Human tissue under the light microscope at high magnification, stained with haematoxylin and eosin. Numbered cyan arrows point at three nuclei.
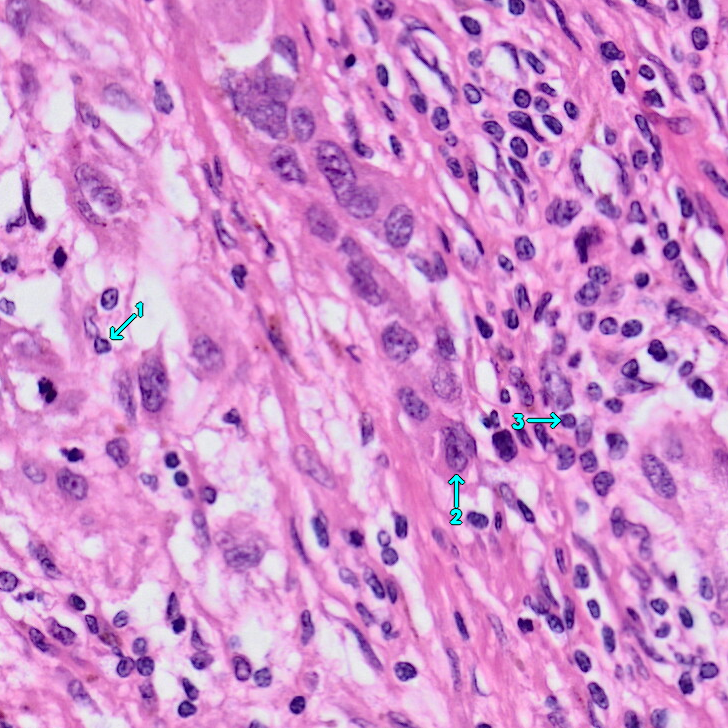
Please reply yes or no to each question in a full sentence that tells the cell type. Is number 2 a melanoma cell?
Yes, the cell that number 2 points to is a melanoma cell.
